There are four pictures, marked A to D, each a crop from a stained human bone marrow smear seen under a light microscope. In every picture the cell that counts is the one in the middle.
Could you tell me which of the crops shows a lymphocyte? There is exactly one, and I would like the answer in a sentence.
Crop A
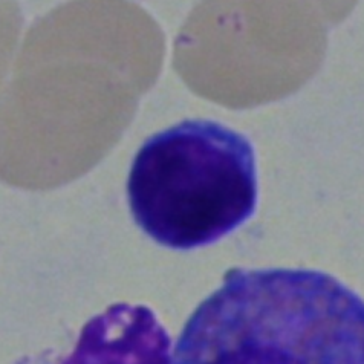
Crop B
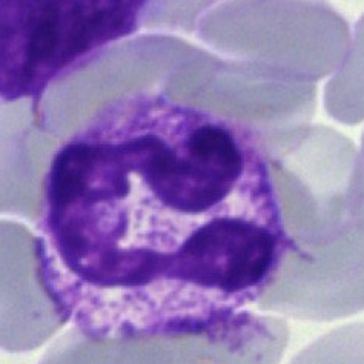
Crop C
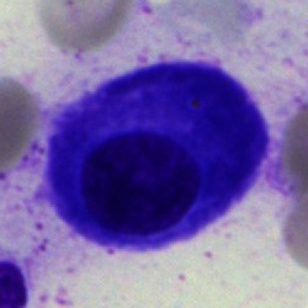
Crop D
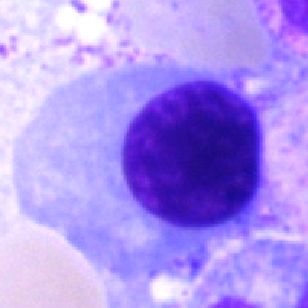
Crop A represents a lymphocyte, while the other crops do not.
